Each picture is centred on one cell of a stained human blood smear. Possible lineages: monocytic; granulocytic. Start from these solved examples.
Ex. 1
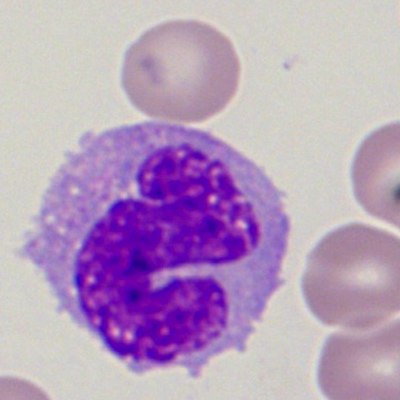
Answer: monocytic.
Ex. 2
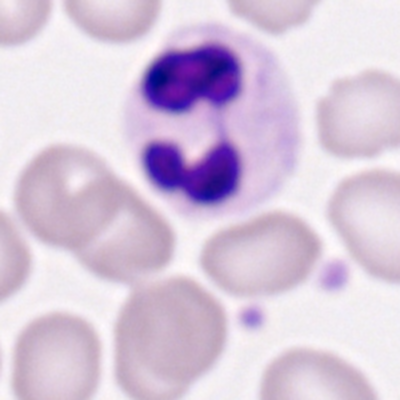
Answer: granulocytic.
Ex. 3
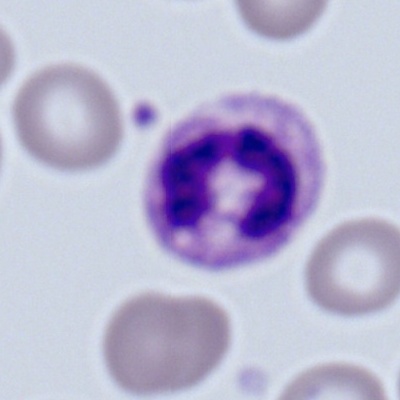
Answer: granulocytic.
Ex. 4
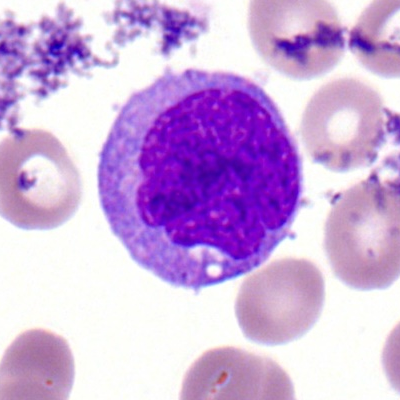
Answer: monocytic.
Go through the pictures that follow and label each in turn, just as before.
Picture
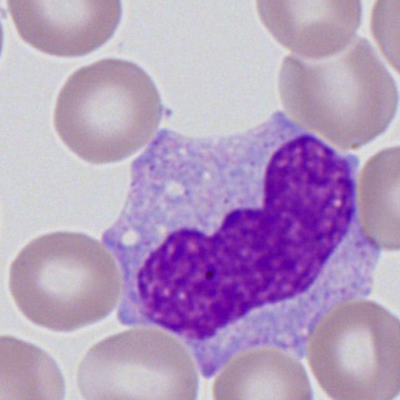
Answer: monocytic.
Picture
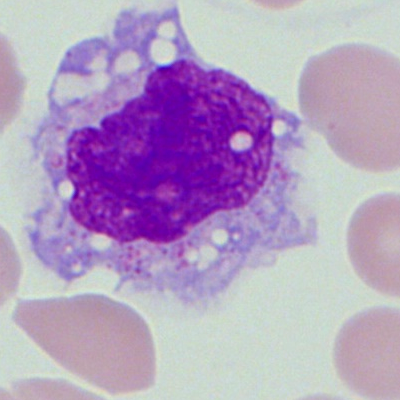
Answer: monocytic.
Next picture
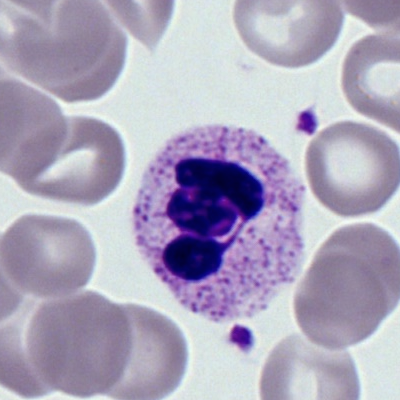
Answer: granulocytic.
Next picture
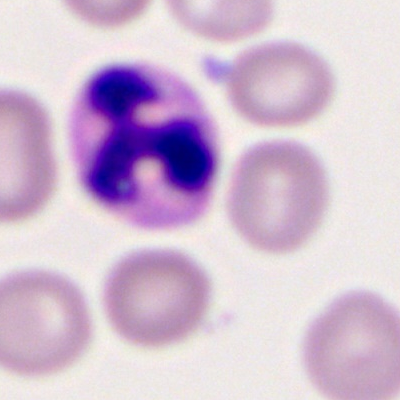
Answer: granulocytic.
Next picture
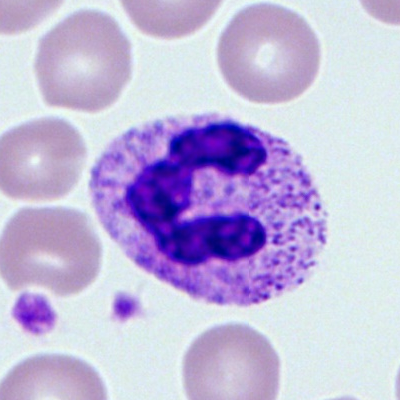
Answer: granulocytic.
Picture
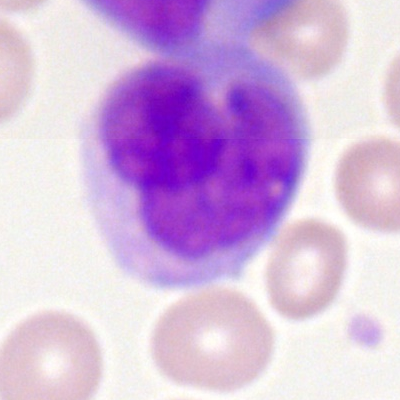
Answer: monocytic.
